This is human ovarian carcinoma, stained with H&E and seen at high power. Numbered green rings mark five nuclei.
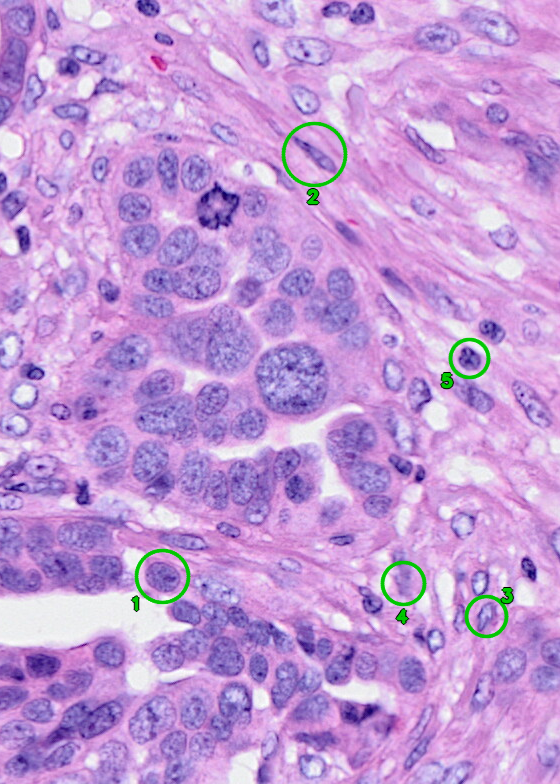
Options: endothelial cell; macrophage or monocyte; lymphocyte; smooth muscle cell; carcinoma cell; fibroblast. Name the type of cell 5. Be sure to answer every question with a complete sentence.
The marked nucleus 5 is that of a lymphocyte.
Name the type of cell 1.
Cell 1, among those numbered, is a carcinoma cell.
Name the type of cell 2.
The cell numbered 2 represents a fibroblast.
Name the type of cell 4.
Among the marked cells, number 4 is a fibroblast.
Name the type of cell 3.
The cell carrying label 3 is identified as a fibroblast.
